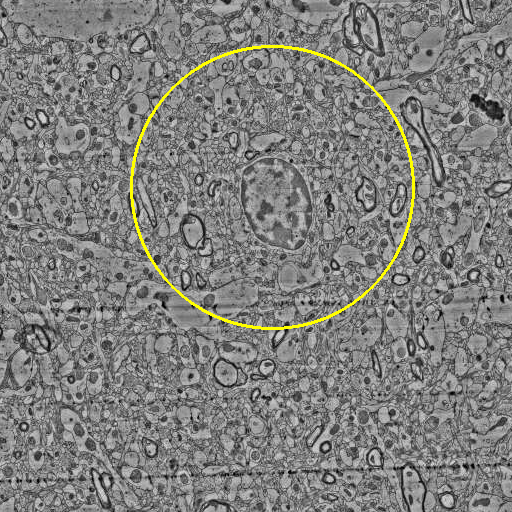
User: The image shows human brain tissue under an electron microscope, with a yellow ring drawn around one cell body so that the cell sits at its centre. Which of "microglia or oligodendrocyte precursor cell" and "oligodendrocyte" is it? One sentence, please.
At the centre of the ring sits a microglial cell or oligodendrocyte precursor cell.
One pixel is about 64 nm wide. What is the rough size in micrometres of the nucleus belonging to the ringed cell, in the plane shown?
The nucleus works out at approximately 6 by 4 micrometres in this plane.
